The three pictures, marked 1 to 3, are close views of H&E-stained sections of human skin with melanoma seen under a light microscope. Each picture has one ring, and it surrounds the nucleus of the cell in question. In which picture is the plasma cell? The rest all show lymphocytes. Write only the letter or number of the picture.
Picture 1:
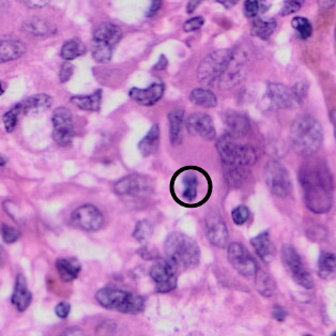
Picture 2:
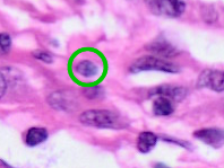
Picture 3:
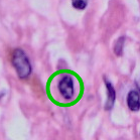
3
